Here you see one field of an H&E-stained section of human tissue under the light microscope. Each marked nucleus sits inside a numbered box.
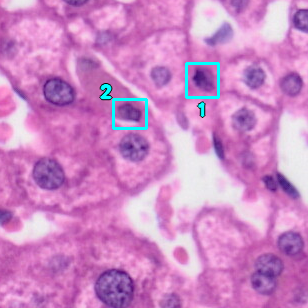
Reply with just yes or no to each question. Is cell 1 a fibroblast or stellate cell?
yes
